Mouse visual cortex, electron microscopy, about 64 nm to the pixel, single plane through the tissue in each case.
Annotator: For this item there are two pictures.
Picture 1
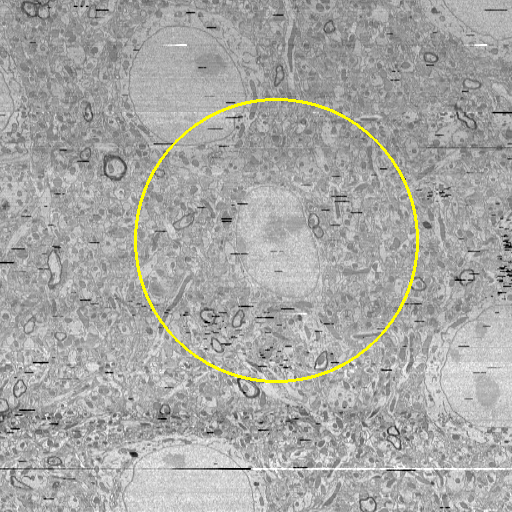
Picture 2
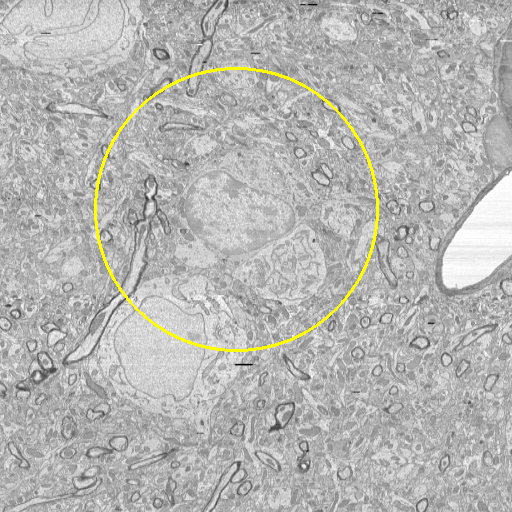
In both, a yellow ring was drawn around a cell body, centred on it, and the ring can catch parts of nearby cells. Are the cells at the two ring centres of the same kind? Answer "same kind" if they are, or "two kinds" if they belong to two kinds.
two kinds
